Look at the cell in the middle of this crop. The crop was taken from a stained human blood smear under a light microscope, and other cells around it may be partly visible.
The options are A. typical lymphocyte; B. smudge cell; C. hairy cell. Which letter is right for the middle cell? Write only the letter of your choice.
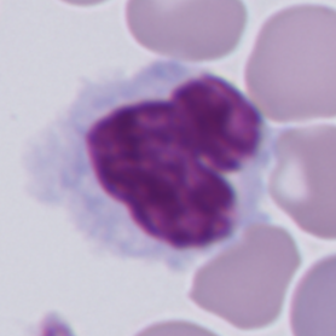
C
